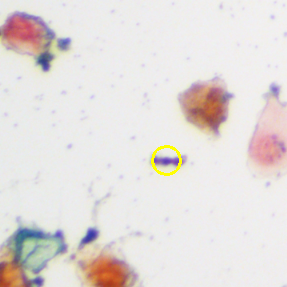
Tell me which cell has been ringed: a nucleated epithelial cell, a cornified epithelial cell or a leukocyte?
It is a leukocyte.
